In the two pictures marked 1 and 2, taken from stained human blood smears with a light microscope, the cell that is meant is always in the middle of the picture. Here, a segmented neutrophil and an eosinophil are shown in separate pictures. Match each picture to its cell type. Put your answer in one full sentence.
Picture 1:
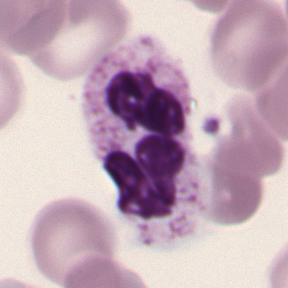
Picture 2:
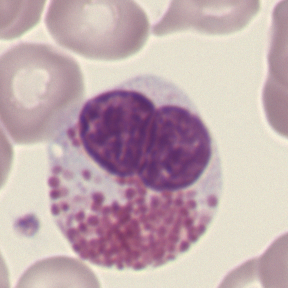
In picture 1 the cell is a segmented neutrophil; in picture 2, an eosinophil.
